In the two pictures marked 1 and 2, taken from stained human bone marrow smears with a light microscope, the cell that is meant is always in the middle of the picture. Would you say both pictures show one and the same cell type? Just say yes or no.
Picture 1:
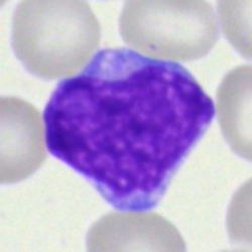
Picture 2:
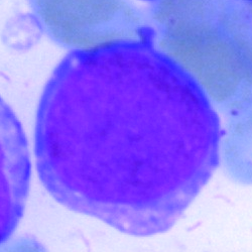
yes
